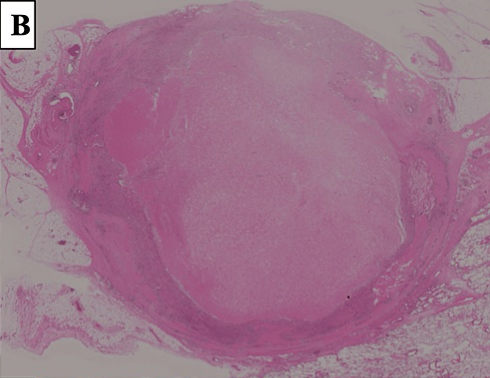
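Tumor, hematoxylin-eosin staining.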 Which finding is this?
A: Massive necrotic area in the center.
